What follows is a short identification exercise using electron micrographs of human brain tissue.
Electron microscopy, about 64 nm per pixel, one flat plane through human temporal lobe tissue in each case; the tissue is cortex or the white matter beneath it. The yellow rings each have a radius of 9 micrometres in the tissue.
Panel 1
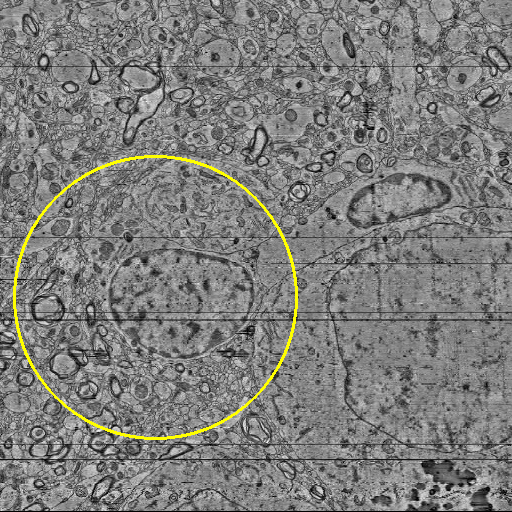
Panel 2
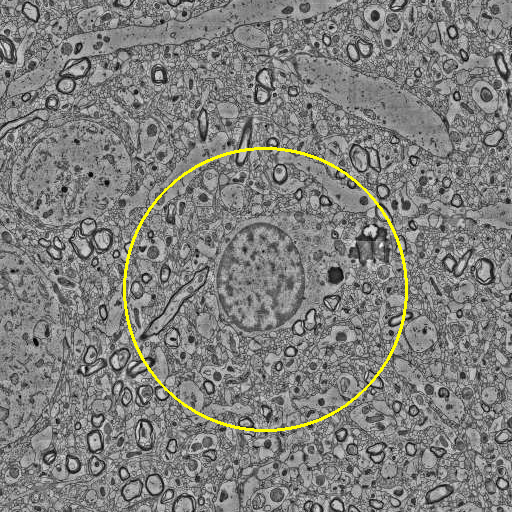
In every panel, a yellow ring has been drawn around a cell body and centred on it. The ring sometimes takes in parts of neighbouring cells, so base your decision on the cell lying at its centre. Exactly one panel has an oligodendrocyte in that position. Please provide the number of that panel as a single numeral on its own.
2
